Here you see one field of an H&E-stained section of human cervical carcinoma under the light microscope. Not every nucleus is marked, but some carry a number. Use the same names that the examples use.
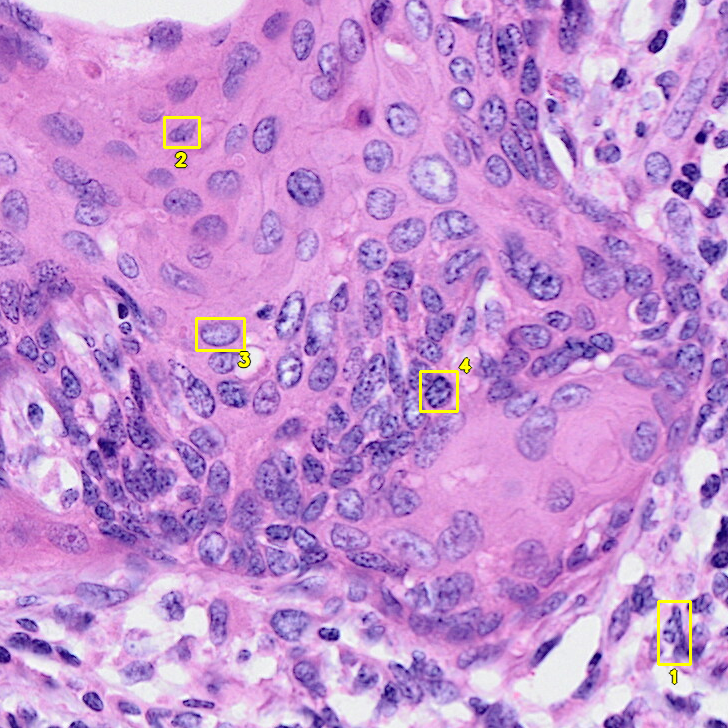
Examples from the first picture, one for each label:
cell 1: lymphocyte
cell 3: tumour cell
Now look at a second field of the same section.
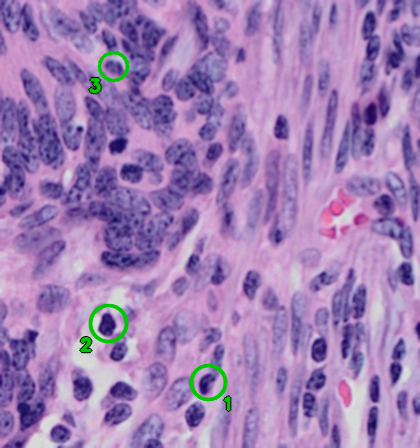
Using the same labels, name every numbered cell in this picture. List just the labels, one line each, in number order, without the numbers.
lymphocyte
lymphocyte
tumour cell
